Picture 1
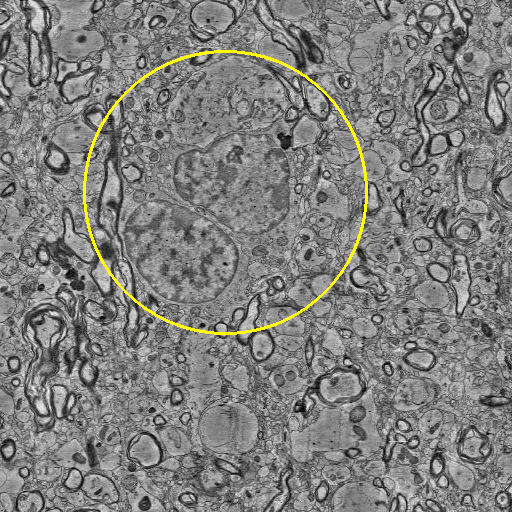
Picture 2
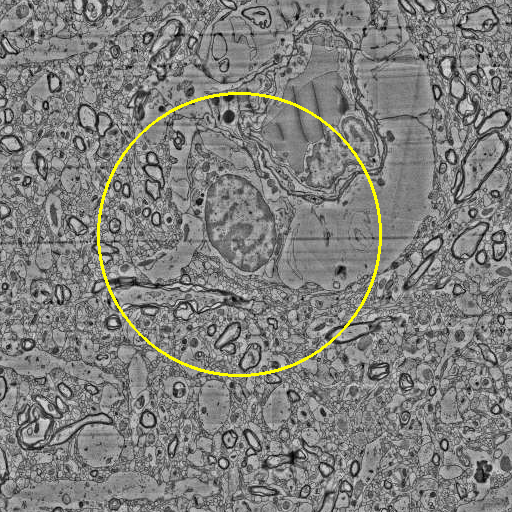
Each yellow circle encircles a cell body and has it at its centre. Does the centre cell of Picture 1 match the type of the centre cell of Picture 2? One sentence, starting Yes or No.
No, the cell centred in Picture 1 and the one in Picture 2 have separate types.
